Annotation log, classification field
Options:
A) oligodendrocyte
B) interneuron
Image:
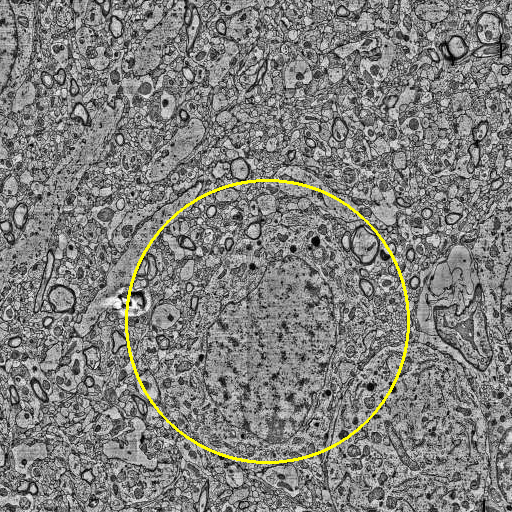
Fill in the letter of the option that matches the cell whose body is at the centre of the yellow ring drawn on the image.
B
